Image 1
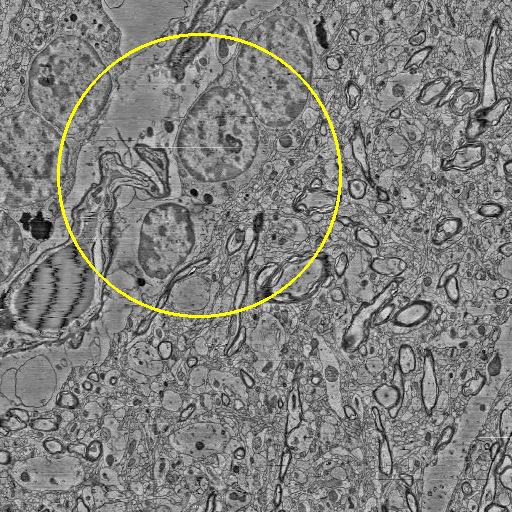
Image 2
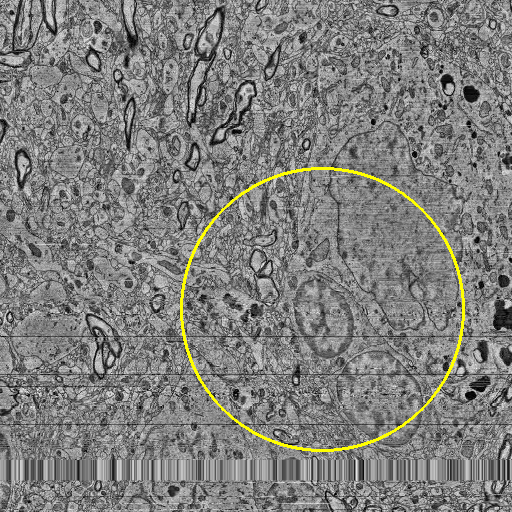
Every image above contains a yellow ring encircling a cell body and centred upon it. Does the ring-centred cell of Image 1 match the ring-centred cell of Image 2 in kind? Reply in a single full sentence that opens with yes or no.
Yes, the cell at the ring's centre in Image 1 is the same kind as that in Image 2.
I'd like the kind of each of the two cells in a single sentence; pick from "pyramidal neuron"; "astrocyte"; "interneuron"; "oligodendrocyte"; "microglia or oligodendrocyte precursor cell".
The cell in the first picture is an oligodendrocyte, and so is the one in the second.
